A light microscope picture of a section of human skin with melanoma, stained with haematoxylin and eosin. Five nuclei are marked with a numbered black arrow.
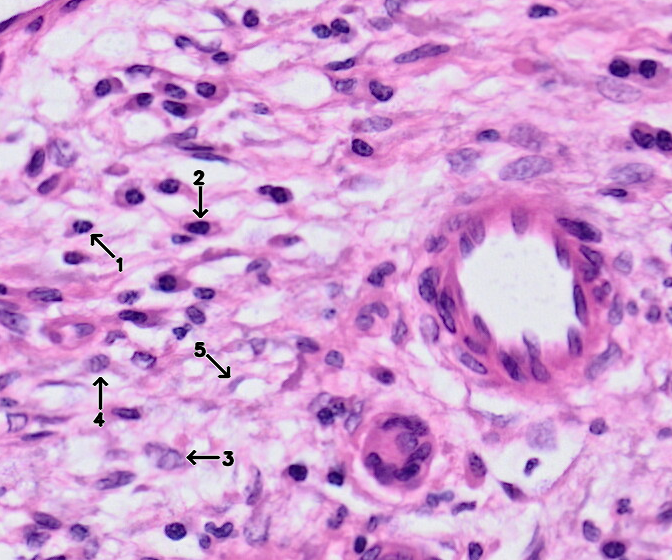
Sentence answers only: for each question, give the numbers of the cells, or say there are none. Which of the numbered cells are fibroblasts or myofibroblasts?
The cells picked out by numbers 3 and 5 are fibroblasts or myofibroblasts.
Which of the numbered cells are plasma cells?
Classified as plasma cells are the cells numbered 1 and 2.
